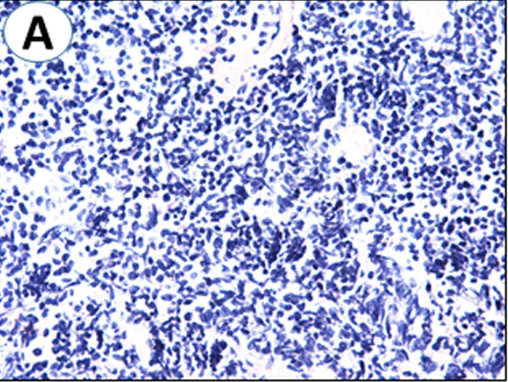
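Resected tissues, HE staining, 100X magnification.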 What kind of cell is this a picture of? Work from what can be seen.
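Small cells with scant cytoplasm. Densely packed small cells with dark nuclei. Very little cytoplasm around each nucleus. Cells form solid sheets without glands.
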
